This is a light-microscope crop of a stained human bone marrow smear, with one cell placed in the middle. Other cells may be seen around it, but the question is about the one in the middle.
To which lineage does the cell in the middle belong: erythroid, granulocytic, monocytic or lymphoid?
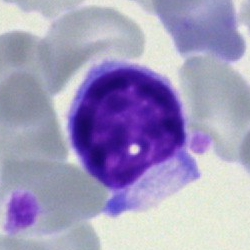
lymphoid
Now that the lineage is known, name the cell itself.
lymphocyte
